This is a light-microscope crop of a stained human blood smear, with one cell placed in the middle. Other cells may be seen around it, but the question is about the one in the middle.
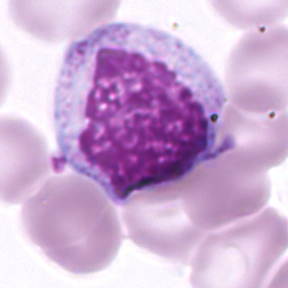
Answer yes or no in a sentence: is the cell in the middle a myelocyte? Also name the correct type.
Yes, the cell right in the middle is a myelocyte.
